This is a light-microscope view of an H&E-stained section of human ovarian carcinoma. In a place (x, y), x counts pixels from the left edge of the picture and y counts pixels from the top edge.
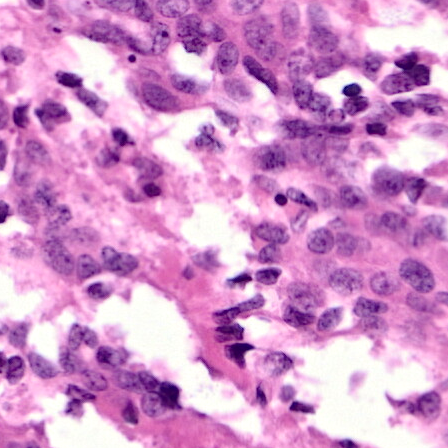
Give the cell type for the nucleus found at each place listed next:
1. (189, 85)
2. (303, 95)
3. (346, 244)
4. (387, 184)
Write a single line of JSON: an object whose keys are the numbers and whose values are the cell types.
{"1": "carcinoma cell", "2": "macrophage or monocyte", "3": "carcinoma cell", "4": "carcinoma cell"}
